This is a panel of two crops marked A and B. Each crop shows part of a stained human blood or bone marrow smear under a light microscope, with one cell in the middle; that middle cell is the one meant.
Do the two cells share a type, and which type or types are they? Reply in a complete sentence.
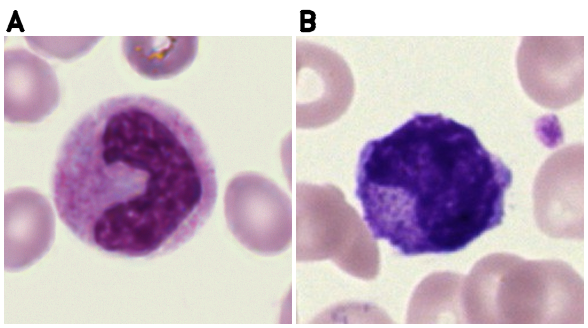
No, the correct reading is a band neutrophil in crop A and a metamyelocyte in crop B.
